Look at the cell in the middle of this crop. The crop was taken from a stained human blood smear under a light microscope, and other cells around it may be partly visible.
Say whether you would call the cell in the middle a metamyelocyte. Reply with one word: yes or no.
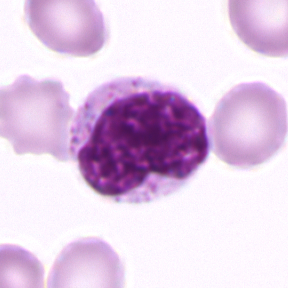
yes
